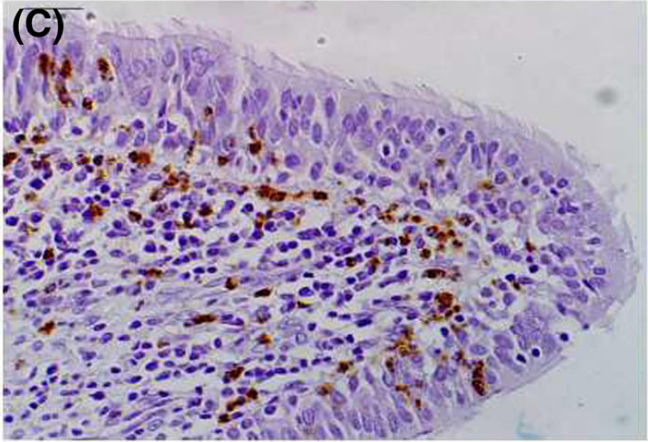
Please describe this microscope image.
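This is airway lining of pseudostratified columnar epithelium with a cilia-bearing surface, above a stroma holding many infiltrating inflammatory cells. The epithelial nuclei are oval and blue, crowded at several levels within the layer. In the stroma beneath, numerous cells carry coarse, granular brown stain, scattered among blue-stained nuclei. A few brown-stained cells sit at the base of the epithelium and within it toward the upper left.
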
